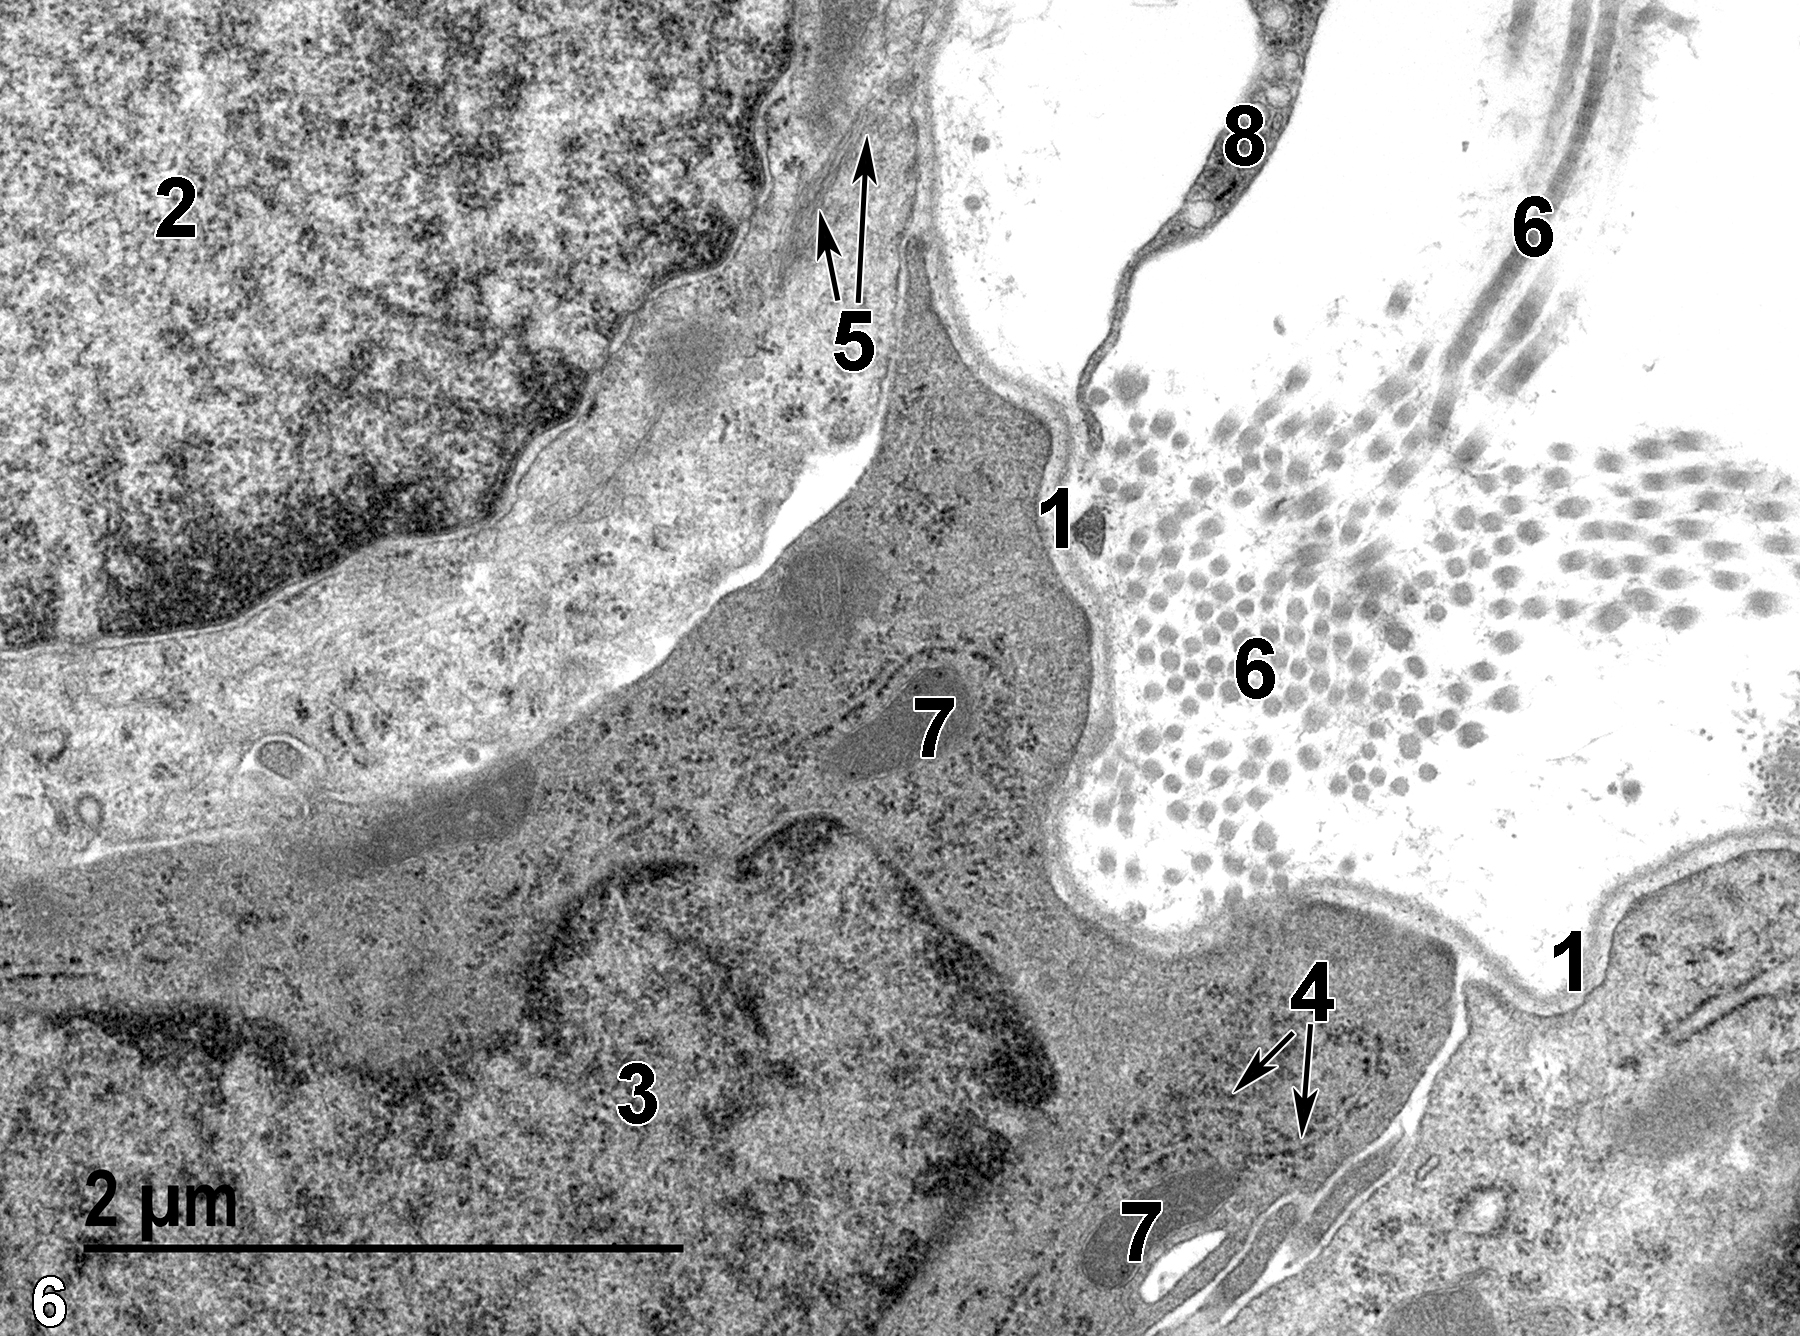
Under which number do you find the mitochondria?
7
